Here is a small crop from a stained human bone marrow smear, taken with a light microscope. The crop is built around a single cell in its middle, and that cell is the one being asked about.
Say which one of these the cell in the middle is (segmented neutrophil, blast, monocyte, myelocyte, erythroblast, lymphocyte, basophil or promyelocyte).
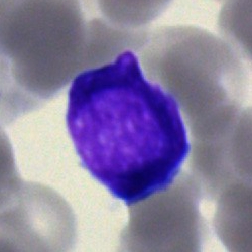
blast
